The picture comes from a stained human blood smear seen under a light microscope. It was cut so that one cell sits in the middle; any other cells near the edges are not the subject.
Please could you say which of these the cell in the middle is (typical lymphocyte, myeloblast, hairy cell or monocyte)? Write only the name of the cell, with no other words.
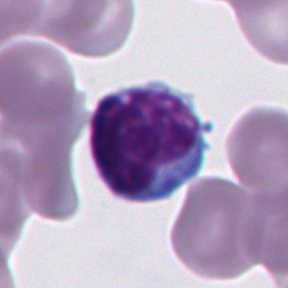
typical lymphocyte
